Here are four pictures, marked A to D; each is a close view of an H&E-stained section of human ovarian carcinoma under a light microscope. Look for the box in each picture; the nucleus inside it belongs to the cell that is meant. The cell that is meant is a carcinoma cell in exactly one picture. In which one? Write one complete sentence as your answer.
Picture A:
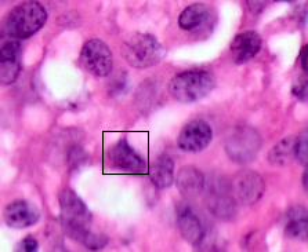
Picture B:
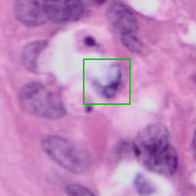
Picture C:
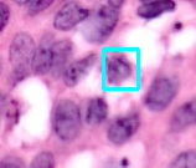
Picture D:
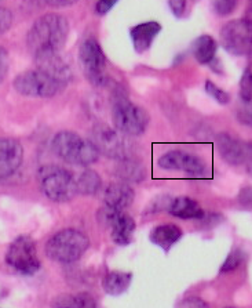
The carcinoma cell is the one in picture A.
